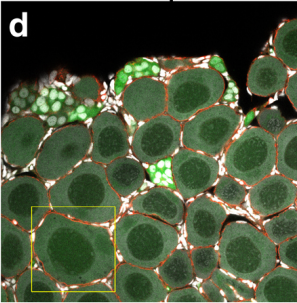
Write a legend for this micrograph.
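An ovary in which most of the area is taken by large, rounded oocytes with pale green cytoplasm, each outlined by a thin red rim. Small white nuclei of flattened somatic cells lie between the oocytes.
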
